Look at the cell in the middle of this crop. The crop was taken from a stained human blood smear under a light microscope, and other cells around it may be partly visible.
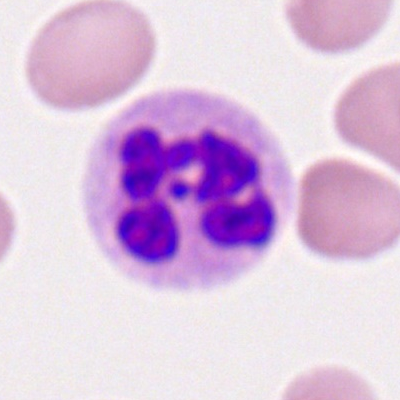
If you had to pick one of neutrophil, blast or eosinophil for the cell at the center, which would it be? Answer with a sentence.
In the centre of this crop there is a neutrophil.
